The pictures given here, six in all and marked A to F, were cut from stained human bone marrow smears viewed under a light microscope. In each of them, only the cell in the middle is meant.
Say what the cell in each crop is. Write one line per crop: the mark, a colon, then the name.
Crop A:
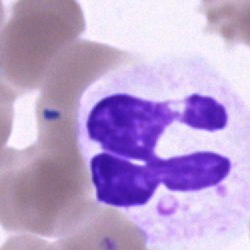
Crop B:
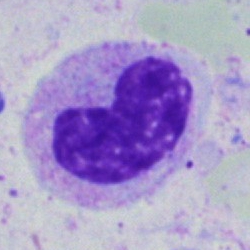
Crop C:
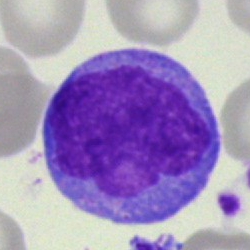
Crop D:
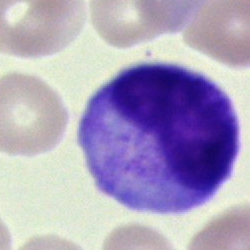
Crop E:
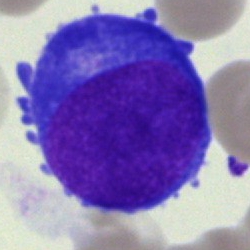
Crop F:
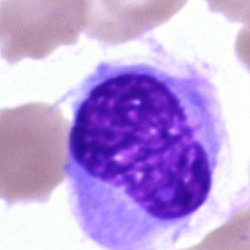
A: segmented neutrophil
B: metamyelocyte
C: monocyte
D: metamyelocyte
E: proerythroblast
F: hairy cell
